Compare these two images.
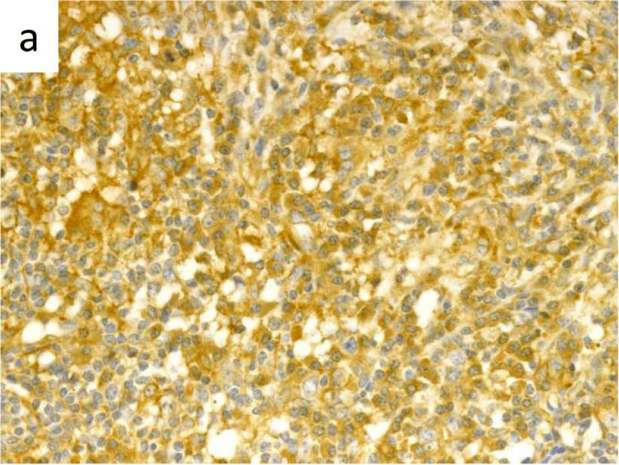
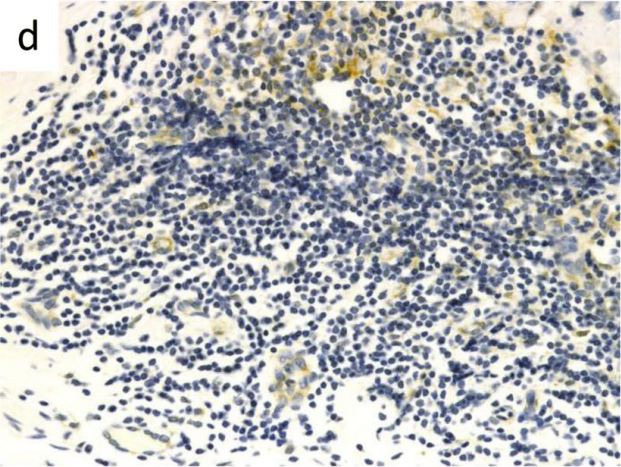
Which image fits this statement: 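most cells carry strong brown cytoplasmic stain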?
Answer: The first image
